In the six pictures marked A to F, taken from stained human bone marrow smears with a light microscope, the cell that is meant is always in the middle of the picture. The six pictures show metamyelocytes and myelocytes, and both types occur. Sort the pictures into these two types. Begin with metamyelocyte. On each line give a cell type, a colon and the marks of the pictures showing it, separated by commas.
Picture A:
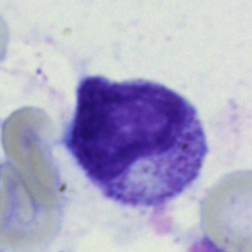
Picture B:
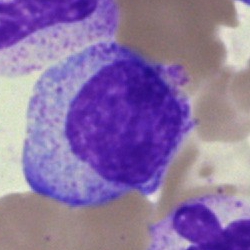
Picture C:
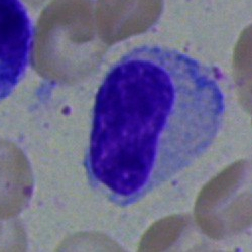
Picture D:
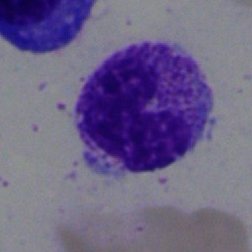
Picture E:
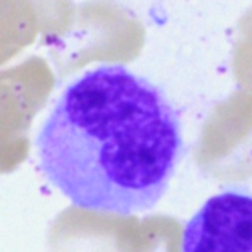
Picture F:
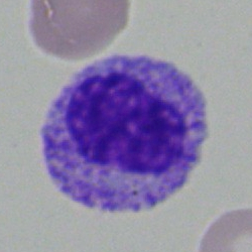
metamyelocyte: C, D, E
myelocyte: A, B, F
